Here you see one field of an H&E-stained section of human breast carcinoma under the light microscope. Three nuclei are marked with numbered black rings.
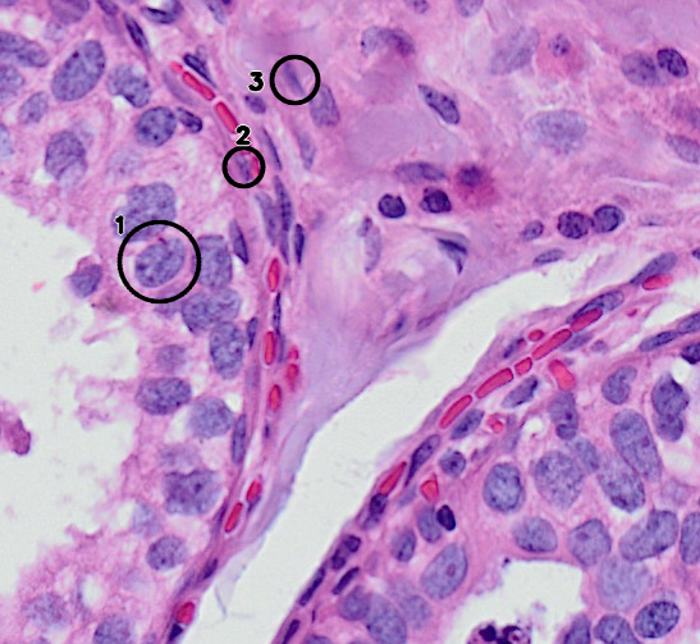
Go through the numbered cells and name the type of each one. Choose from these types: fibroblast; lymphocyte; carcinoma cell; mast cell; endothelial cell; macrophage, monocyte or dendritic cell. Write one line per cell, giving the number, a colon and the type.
1: carcinoma cell
2: endothelial cell
3: fibroblast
